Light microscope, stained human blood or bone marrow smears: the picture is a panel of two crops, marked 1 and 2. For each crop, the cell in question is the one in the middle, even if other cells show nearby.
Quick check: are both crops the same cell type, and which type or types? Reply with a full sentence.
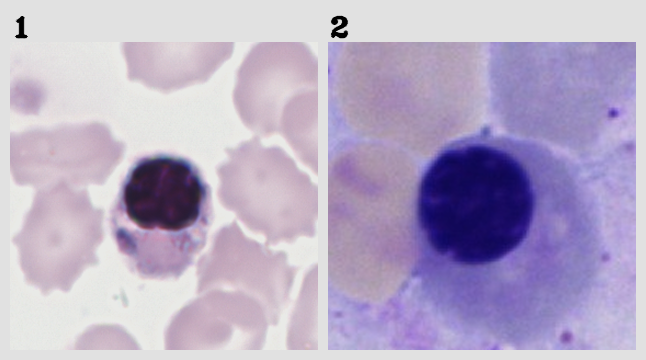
Yes, both crops show erythroblasts in the middle.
